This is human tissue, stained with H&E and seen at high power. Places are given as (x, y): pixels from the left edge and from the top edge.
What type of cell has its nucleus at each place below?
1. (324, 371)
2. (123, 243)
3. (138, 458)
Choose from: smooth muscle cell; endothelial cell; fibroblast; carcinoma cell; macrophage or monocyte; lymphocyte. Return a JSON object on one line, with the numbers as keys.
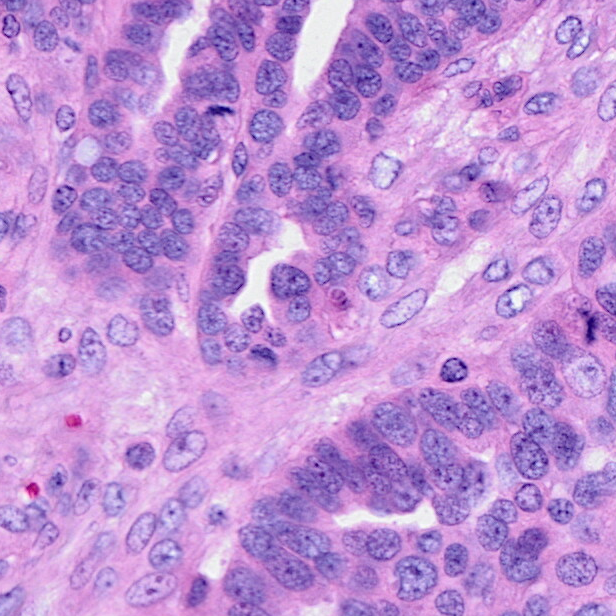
{"1": "fibroblast", "2": "carcinoma cell", "3": "macrophage or monocyte"}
